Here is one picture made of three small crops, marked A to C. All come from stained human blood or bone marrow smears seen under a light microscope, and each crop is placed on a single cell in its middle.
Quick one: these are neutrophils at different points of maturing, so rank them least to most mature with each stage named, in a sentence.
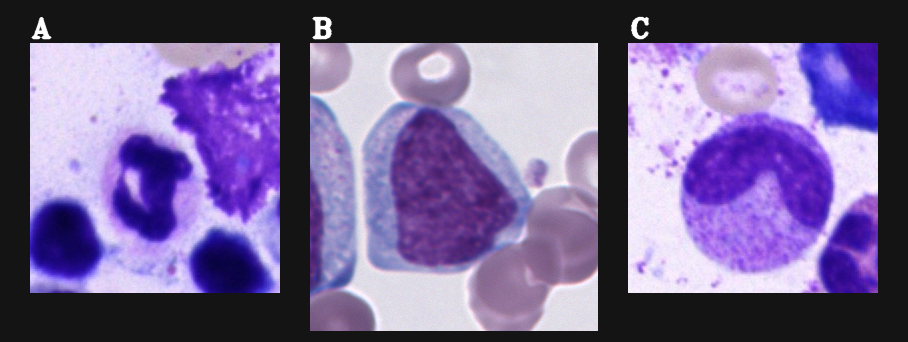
Listed in order of increasing maturity, the crops are crop B (a promyelocyte), crop C (a band neutrophil) and crop A (a segmented neutrophil).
